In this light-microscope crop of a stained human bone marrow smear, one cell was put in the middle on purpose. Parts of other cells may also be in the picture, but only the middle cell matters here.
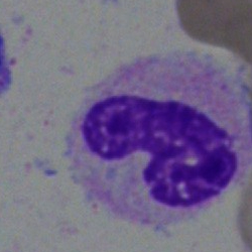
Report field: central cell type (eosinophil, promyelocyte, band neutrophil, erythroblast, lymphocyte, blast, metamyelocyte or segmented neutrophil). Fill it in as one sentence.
At the middle of the frame sits a band neutrophil.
